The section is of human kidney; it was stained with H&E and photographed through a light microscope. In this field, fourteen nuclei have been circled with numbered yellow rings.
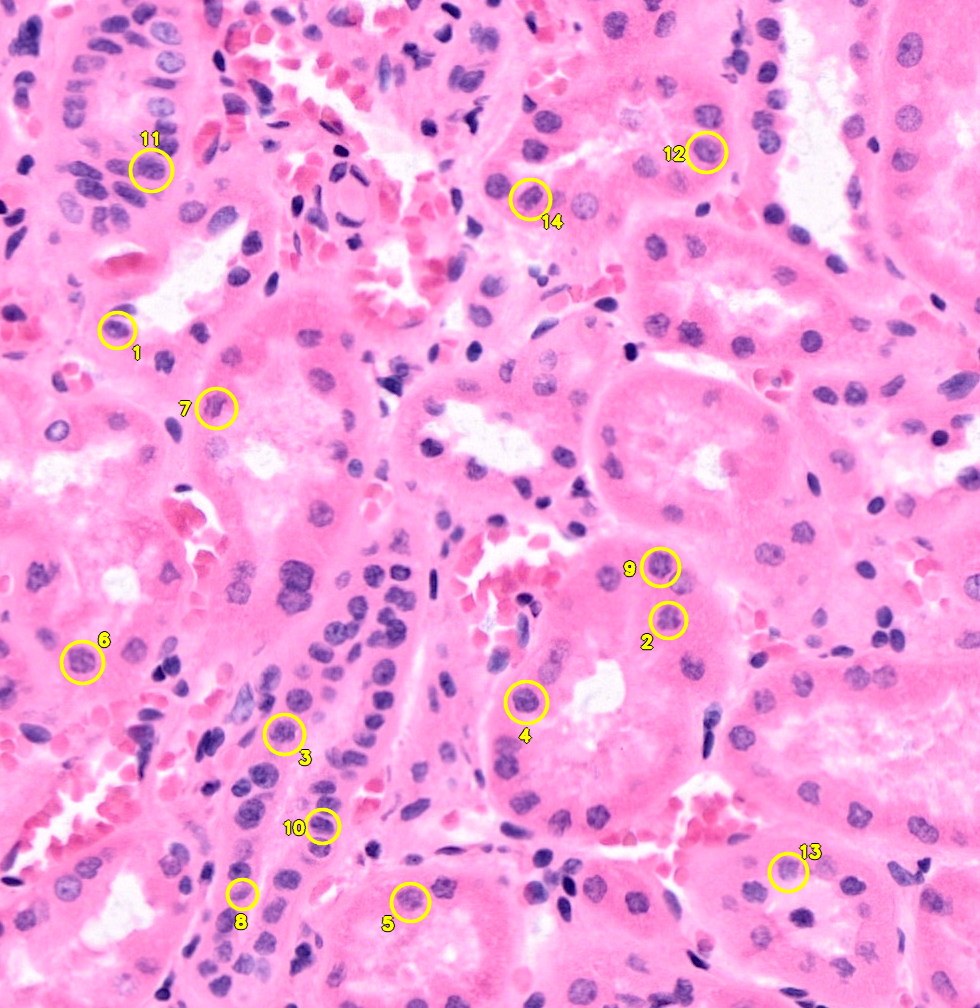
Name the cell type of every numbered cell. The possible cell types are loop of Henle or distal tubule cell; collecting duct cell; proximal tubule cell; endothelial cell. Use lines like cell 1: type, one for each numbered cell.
cell 1: loop of Henle or distal tubule cell
cell 2: proximal tubule cell
cell 3: collecting duct cell
cell 4: proximal tubule cell
cell 5: proximal tubule cell
cell 6: proximal tubule cell
cell 7: proximal tubule cell
cell 8: collecting duct cell
cell 9: proximal tubule cell
cell 10: collecting duct cell
cell 11: collecting duct cell
cell 12: proximal tubule cell
cell 13: loop of Henle or distal tubule cell
cell 14: proximal tubule cell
